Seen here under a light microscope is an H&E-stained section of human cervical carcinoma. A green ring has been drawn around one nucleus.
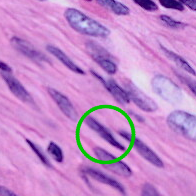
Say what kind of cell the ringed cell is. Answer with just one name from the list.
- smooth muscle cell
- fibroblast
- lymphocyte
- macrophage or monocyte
fibroblast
